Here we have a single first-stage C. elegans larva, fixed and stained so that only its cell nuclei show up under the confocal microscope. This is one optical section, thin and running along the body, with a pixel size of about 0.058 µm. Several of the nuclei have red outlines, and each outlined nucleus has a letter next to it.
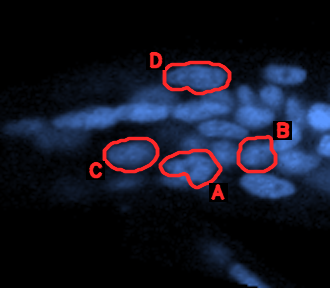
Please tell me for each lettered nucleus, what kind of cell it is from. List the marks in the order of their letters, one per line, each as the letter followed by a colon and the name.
A: body wall muscle cell
B: hypodermal cell (hyp)
C: body wall muscle cell
D: body wall muscle cell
